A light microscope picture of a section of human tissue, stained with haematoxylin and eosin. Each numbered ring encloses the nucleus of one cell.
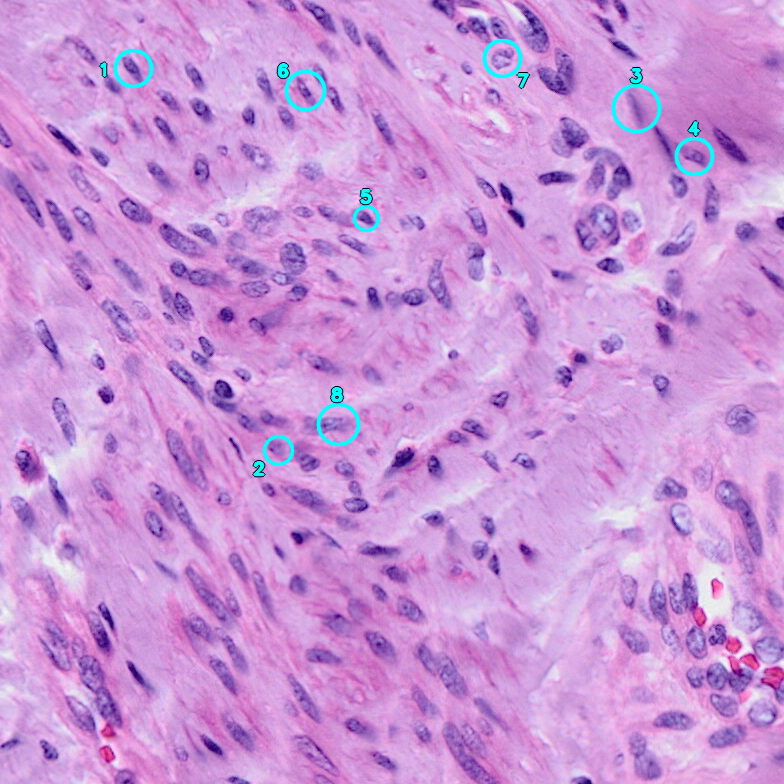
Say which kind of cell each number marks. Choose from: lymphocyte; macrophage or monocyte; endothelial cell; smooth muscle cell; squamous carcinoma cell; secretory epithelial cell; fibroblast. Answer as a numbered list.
1. smooth muscle cell
2. smooth muscle cell
3. fibroblast
4. fibroblast
5. smooth muscle cell
6. smooth muscle cell
7. endothelial cell
8. smooth muscle cell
